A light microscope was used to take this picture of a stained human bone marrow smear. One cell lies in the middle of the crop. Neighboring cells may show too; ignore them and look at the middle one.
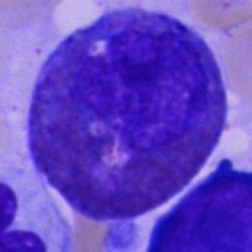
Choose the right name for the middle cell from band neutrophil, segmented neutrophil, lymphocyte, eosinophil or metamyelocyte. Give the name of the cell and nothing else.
eosinophil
